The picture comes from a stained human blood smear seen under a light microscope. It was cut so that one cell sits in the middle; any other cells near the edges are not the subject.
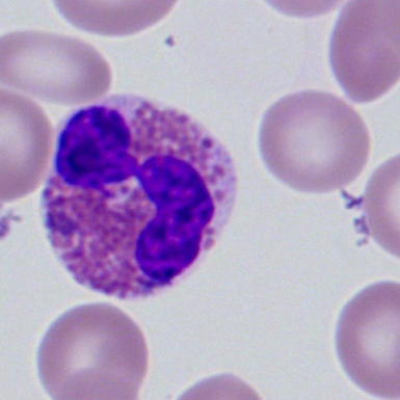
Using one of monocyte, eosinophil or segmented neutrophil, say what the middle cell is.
eosinophil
